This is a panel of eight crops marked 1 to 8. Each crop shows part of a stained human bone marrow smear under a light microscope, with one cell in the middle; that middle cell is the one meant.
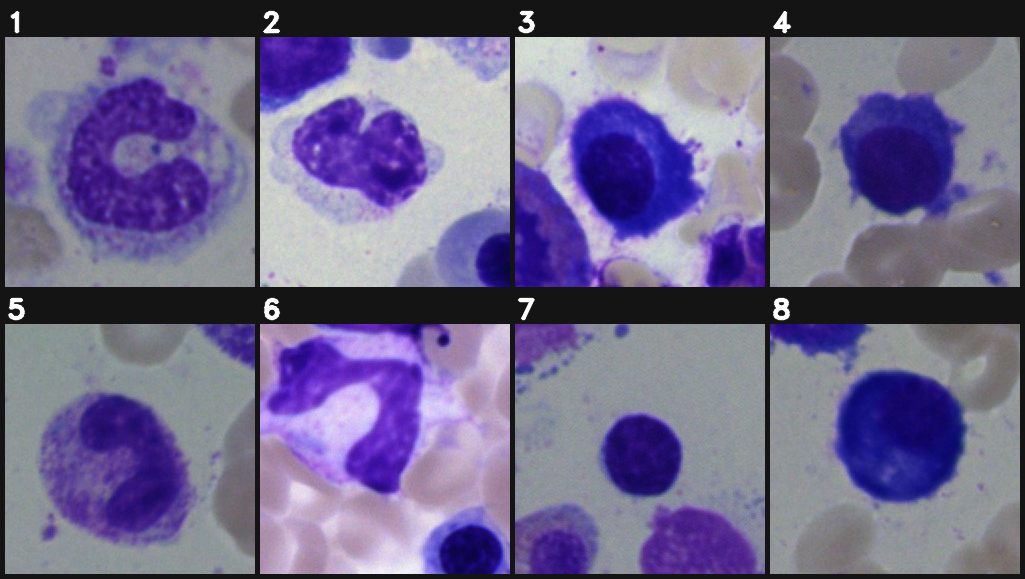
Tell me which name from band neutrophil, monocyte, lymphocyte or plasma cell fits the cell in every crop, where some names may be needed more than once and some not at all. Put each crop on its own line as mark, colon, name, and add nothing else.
1: monocyte
2: band neutrophil
3: plasma cell
4: plasma cell
5: band neutrophil
6: band neutrophil
7: lymphocyte
8: plasma cell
